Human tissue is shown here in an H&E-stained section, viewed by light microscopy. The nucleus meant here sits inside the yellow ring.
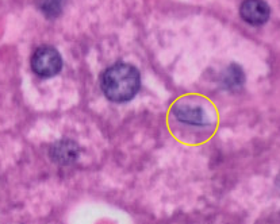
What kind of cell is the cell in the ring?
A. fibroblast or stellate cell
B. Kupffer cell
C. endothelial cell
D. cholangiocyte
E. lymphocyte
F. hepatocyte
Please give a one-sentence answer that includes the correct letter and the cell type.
Option C names it right: the cell in the ring is an endothelial cell.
